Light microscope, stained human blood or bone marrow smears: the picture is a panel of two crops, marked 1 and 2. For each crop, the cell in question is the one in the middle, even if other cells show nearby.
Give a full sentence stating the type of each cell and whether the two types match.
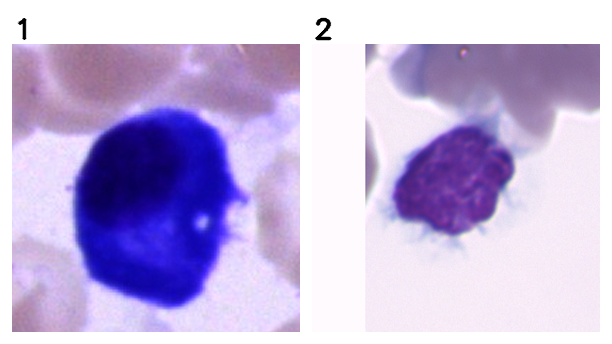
No, crop 2 holds a hairy cell, while crop 1 holds a plasma cell.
